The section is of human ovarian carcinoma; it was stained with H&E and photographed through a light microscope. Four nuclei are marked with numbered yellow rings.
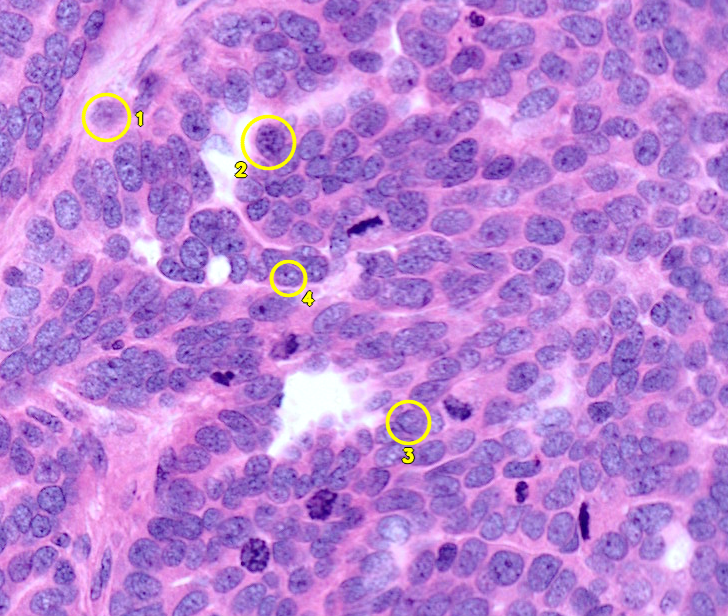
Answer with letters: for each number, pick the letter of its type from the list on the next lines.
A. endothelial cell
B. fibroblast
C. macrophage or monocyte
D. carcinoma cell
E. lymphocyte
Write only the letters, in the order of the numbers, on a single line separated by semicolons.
B; D; D; D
